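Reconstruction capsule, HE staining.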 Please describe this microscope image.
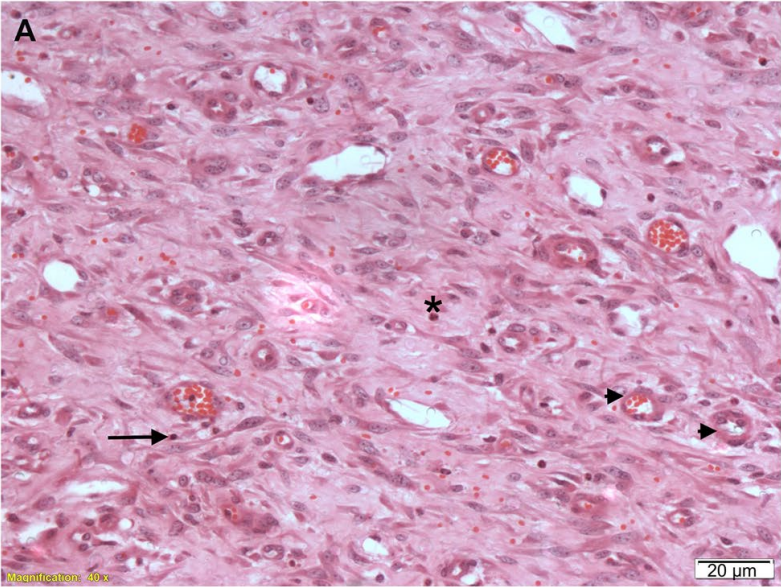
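This is highly cellular, vascular connective tissue in which numerous small blood vessels, many filled with red blood cells and lined by plump cells, are scattered among spindle-shaped cells with oval nuclei. Small round inflammatory cells with dark nuclei lie in the pink matrix between the vessels.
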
